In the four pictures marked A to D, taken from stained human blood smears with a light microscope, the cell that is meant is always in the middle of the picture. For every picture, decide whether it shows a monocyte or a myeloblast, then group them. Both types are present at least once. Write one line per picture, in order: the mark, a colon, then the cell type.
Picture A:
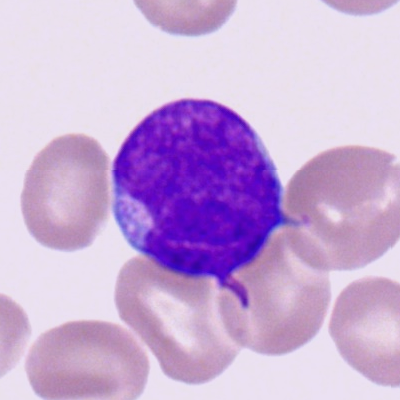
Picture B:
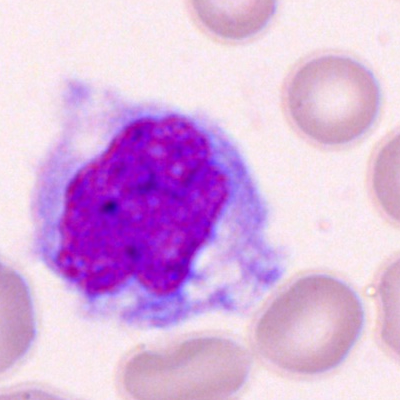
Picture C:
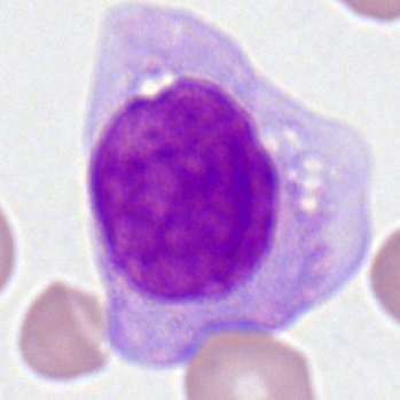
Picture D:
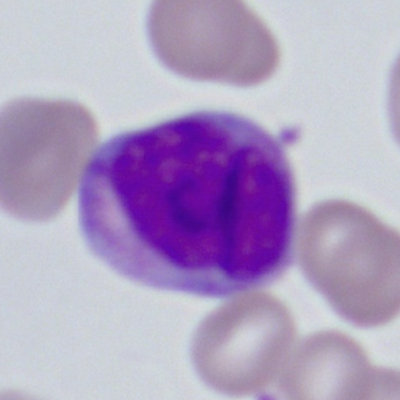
A: myeloblast
B: monocyte
C: monocyte
D: myeloblast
